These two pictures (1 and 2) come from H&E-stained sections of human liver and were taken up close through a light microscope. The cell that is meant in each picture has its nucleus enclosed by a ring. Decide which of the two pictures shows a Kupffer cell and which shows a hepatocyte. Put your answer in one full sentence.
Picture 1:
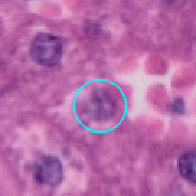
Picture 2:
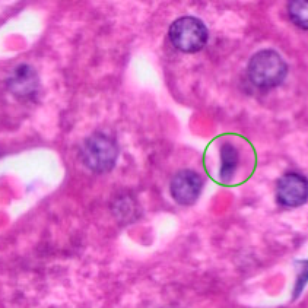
It is picture 1 that shows a hepatocyte, and picture 2 that shows a Kupffer cell.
